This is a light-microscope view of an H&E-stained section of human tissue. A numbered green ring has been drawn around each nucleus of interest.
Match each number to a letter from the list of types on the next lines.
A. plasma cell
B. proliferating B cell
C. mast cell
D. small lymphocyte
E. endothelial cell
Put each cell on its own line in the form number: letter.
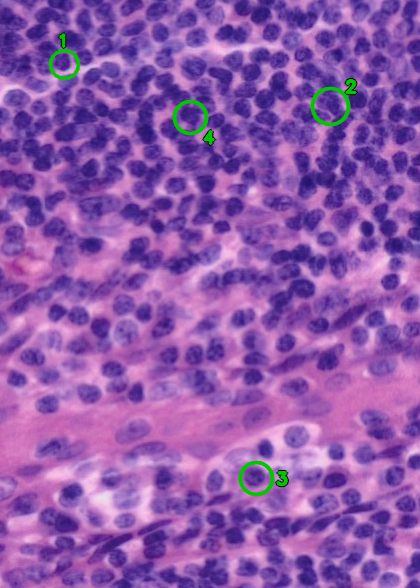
1: D
2: D
3: A
4: D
